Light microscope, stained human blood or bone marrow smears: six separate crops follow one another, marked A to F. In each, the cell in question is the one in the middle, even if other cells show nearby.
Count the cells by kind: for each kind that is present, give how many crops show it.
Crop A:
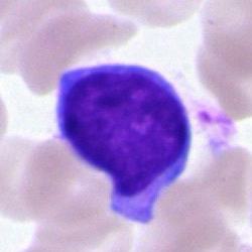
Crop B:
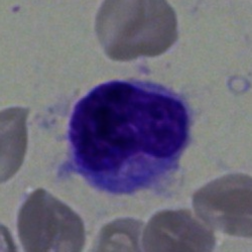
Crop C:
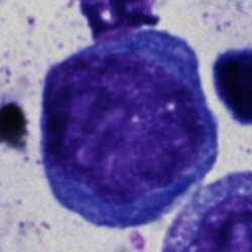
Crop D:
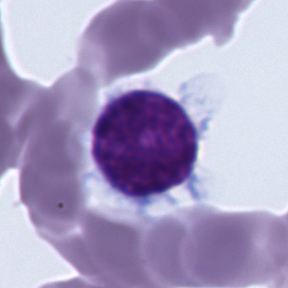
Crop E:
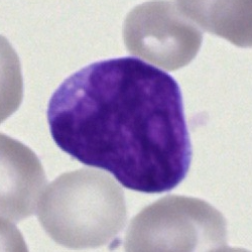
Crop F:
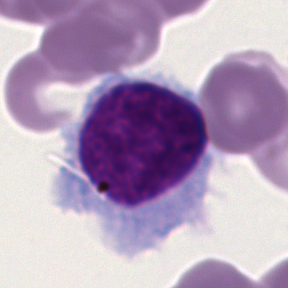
blast: 3
hairy cell: 3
